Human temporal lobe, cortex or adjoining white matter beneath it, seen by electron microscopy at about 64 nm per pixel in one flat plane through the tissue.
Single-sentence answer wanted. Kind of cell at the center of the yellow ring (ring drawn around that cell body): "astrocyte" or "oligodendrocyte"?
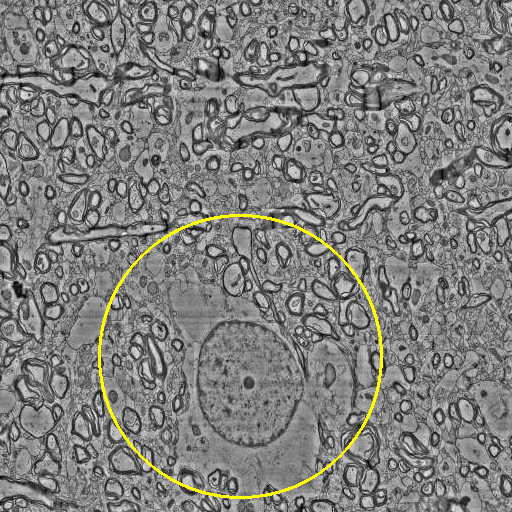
The cell centered in the ring is an astrocyte.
